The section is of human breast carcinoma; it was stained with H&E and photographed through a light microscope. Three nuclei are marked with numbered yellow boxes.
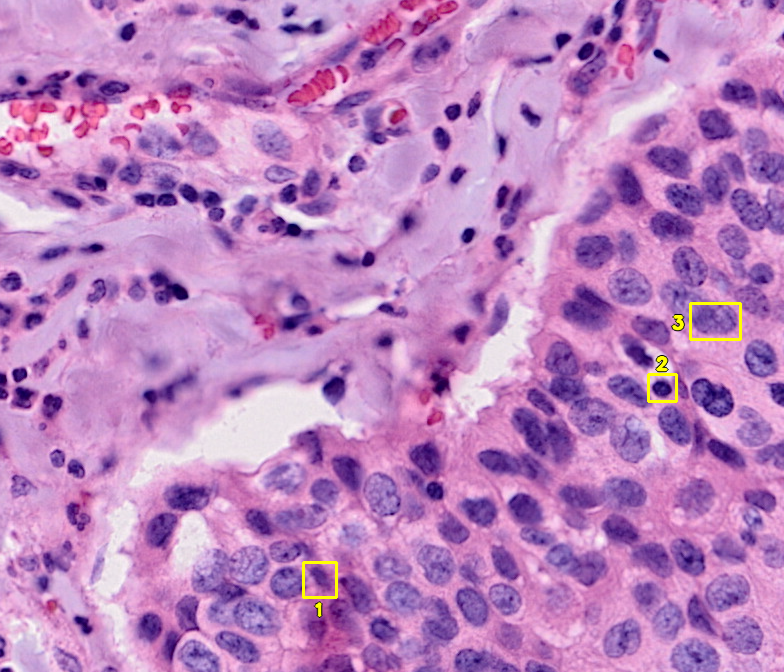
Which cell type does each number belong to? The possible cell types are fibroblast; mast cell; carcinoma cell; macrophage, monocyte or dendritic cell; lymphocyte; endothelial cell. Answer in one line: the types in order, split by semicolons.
carcinoma cell; lymphocyte; carcinoma cell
